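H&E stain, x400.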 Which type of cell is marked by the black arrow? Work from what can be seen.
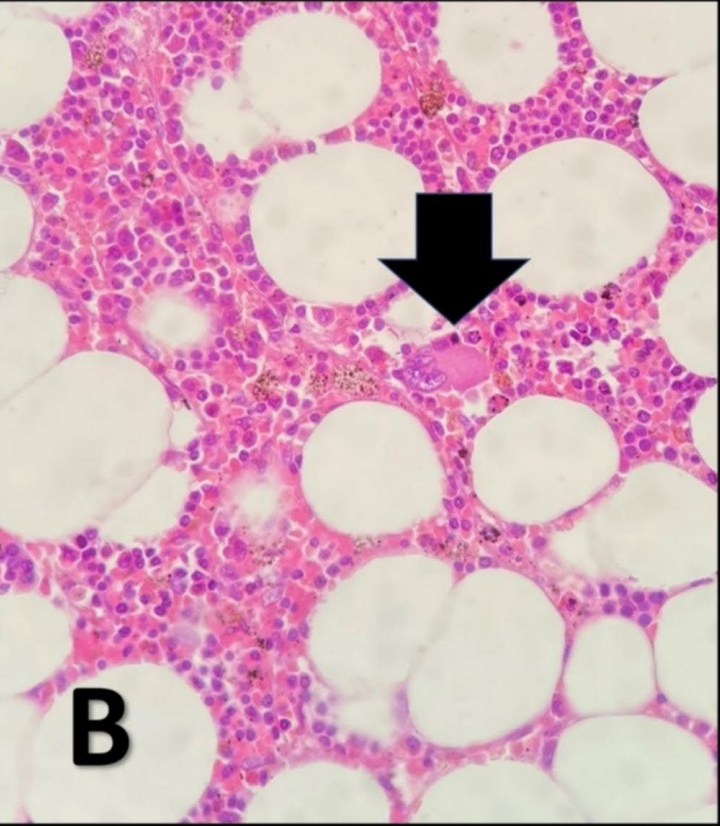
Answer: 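The arrow points to a cell much larger than its neighbours. This cell has a lobulated, purple nucleus. It has abundant pink cytoplasm. It lies among small round blood-forming cells between fat vacuoles. The answer: megakaryocytes.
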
